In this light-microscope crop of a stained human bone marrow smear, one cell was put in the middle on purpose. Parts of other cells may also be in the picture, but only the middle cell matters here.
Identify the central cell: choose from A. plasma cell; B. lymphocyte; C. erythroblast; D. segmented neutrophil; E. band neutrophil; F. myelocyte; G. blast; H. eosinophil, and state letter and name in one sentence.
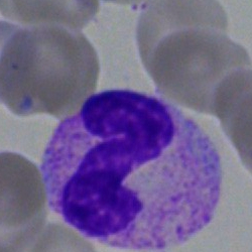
The cell in the middle is a band neutrophil, and that makes option E correct.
